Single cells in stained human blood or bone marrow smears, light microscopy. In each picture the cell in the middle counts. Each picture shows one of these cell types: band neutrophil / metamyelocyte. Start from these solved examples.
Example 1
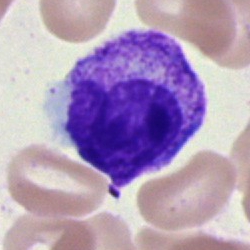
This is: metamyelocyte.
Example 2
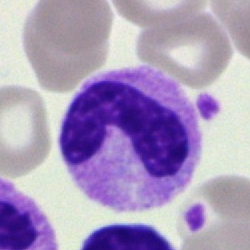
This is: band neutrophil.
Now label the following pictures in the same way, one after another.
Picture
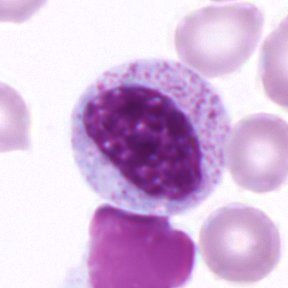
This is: metamyelocyte.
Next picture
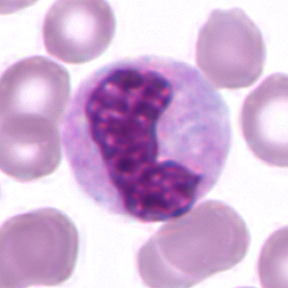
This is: band neutrophil.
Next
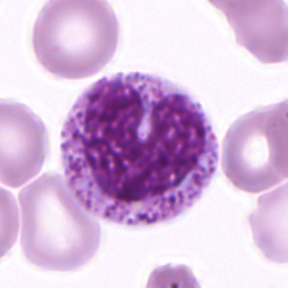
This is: band neutrophil.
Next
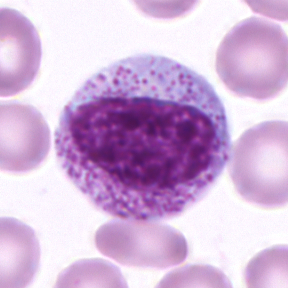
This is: metamyelocyte.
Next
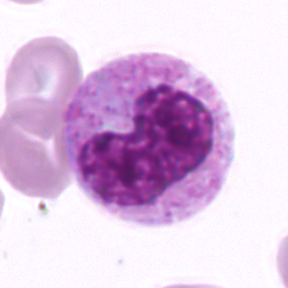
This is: metamyelocyte.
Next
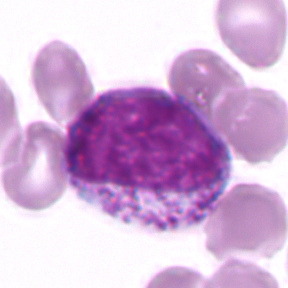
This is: metamyelocyte.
